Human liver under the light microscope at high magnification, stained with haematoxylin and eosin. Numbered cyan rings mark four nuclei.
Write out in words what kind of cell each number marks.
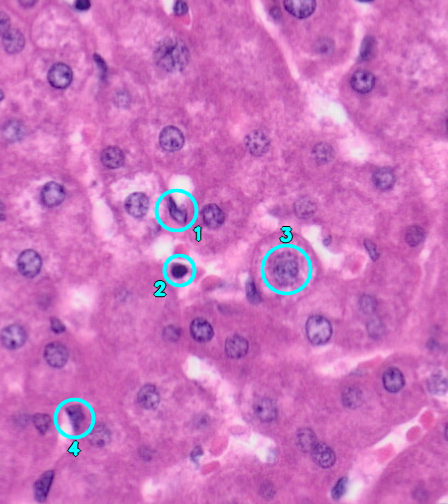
Cell 1 is an endothelial cell, cell 2 is a lymphocyte, cell 3 is a hepatocyte and cell 4 is an endothelial cell.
